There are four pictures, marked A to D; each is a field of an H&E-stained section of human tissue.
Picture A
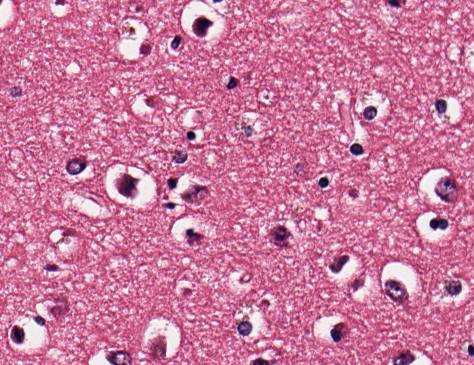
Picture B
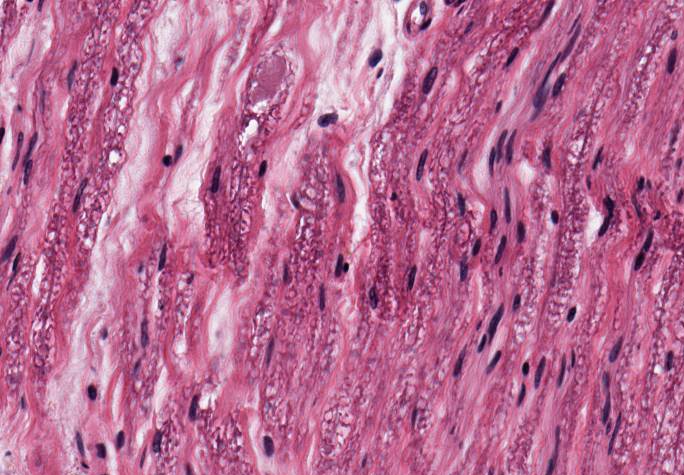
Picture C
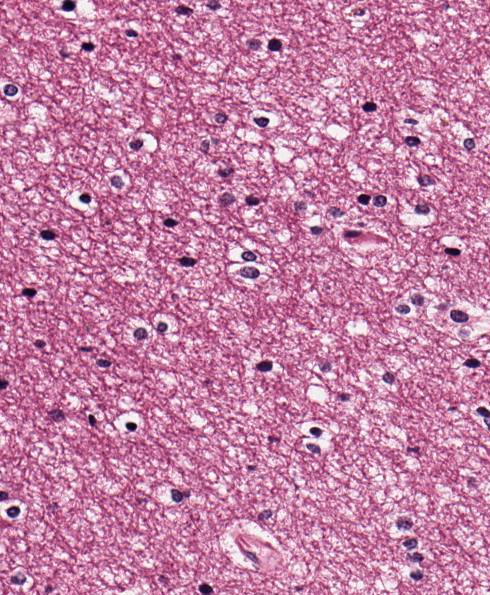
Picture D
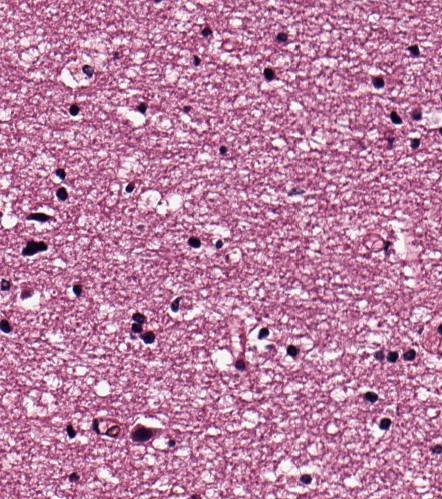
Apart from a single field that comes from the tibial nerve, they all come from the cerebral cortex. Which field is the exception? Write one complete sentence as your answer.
Picture B is the field that comes from the tibial nerve.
